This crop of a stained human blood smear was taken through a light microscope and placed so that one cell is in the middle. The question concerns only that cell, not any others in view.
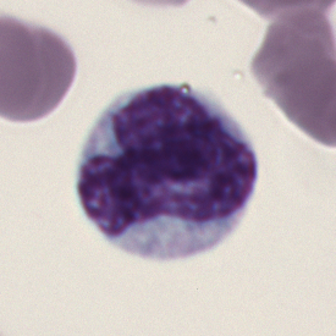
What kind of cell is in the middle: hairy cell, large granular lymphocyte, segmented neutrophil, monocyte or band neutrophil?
monocyte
